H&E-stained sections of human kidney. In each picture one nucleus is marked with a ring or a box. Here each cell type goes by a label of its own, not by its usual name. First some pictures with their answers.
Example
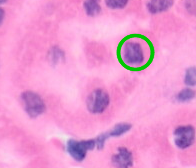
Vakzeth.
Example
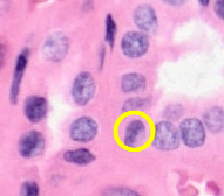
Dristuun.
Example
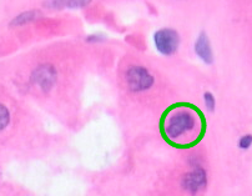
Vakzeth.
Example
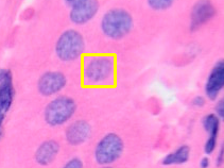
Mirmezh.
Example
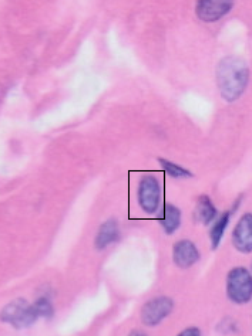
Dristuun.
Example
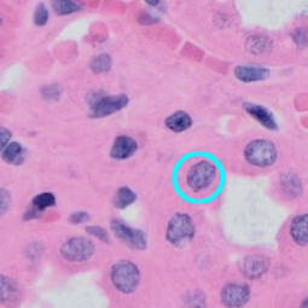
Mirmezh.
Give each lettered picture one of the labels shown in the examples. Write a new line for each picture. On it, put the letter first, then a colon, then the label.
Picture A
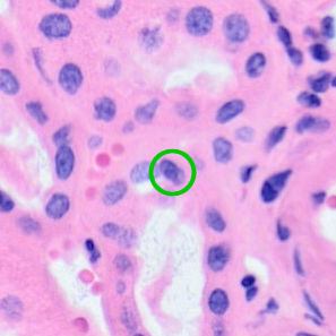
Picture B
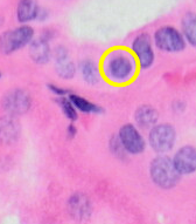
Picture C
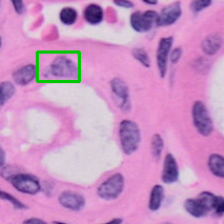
A: Dristuun.
B: Dristuun.
C: Dristuun.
